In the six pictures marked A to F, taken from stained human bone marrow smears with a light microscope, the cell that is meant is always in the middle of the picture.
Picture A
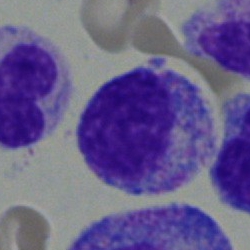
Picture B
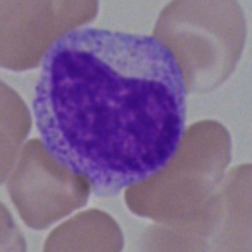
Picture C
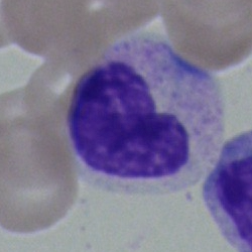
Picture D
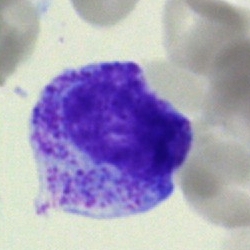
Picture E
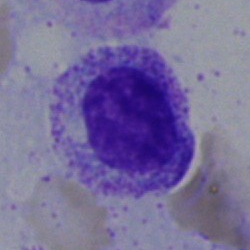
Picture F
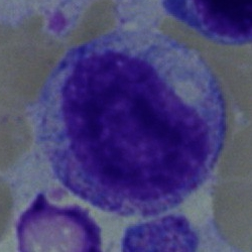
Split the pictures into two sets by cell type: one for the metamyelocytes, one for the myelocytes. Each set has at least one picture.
A: myelocyte
B: metamyelocyte
C: metamyelocyte
D: myelocyte
E: myelocyte
F: myelocyte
